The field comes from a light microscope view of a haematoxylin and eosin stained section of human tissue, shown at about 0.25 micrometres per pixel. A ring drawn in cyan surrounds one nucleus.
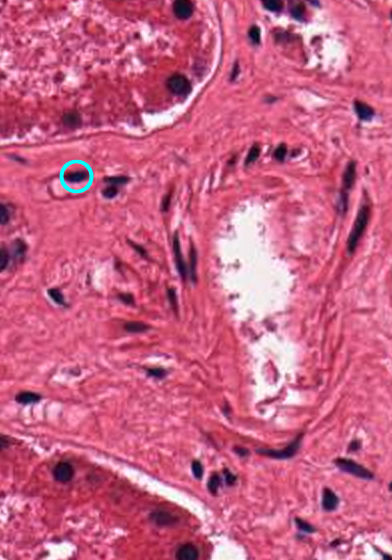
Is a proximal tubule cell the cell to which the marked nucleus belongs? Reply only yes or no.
no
